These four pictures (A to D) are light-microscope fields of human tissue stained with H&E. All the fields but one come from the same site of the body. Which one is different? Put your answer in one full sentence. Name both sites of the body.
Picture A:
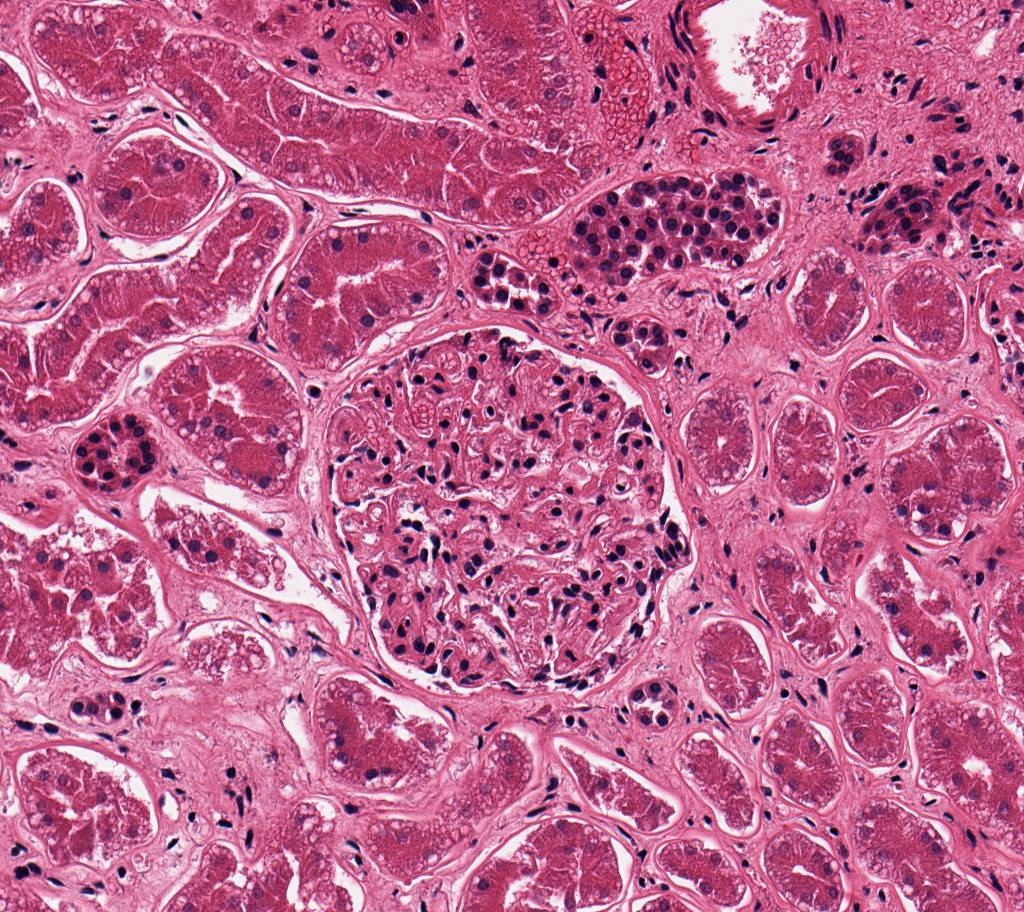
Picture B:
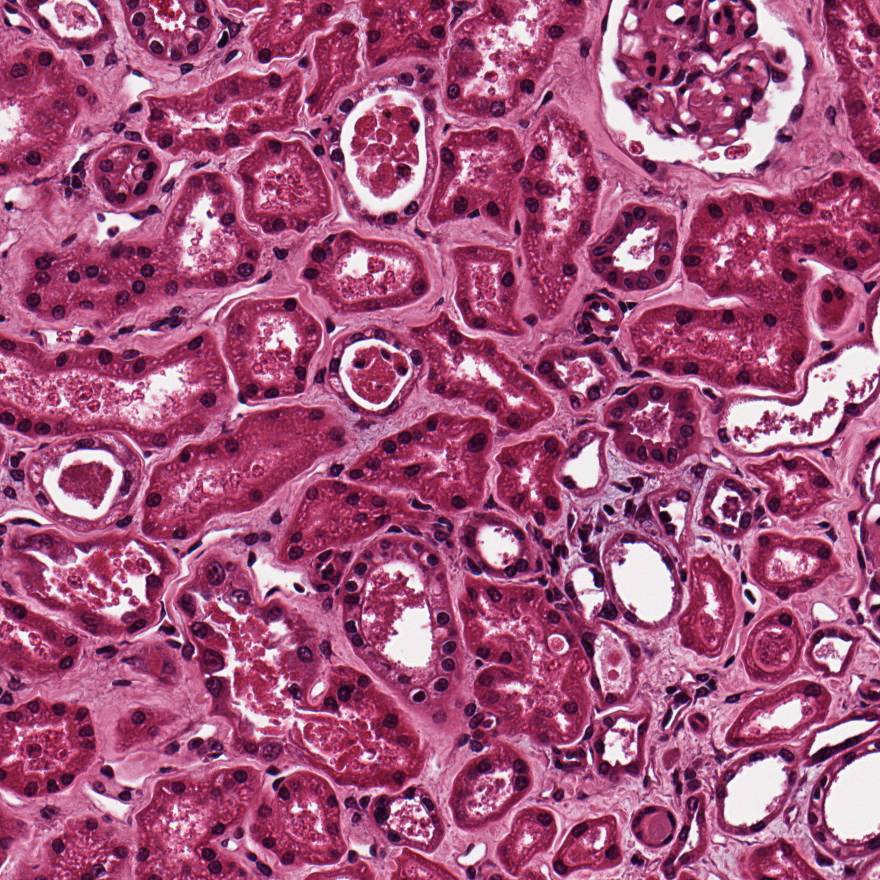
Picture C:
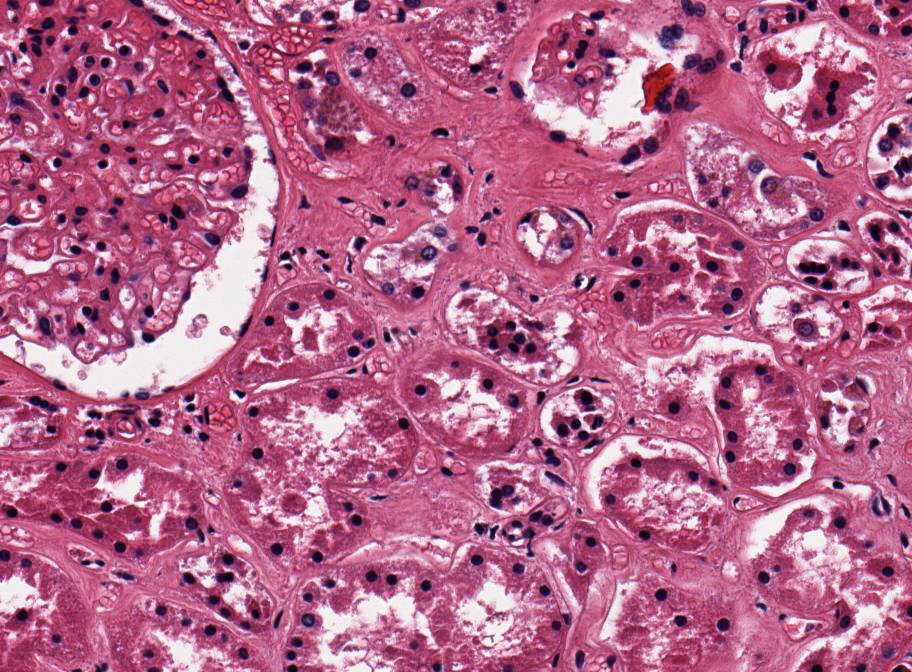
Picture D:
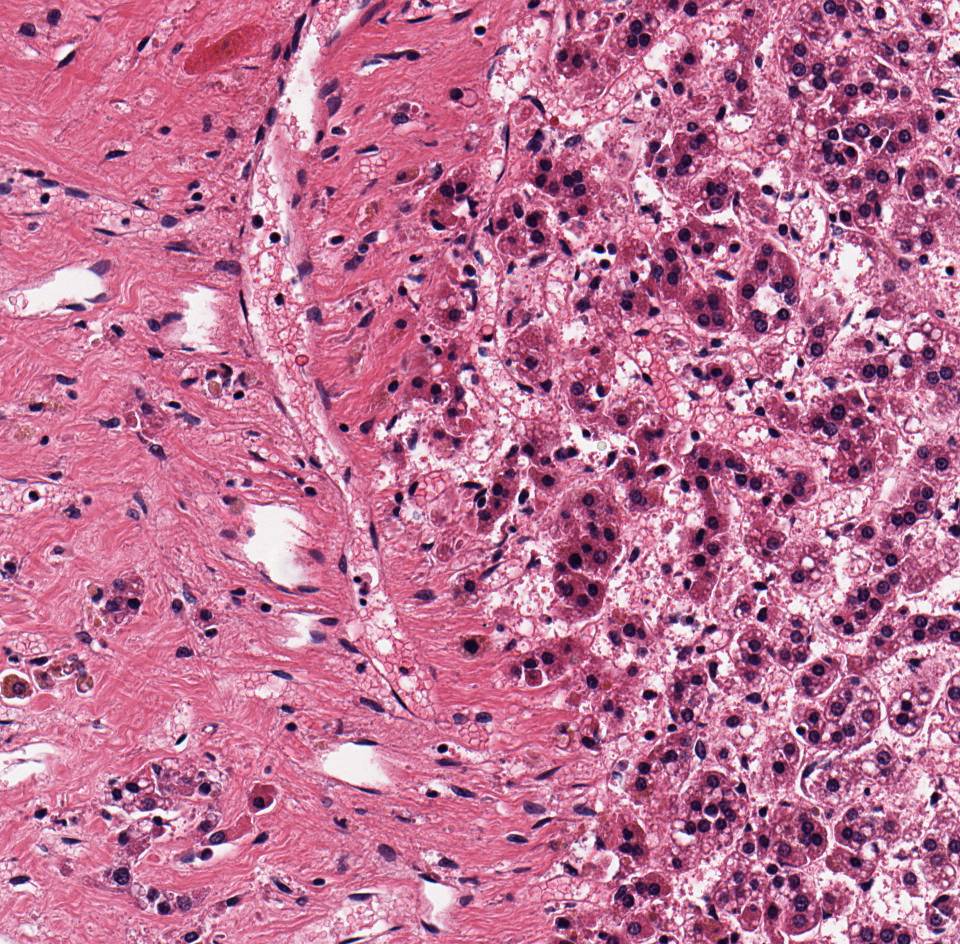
The others come from the renal cortex, but picture D comes from the adrenal gland.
